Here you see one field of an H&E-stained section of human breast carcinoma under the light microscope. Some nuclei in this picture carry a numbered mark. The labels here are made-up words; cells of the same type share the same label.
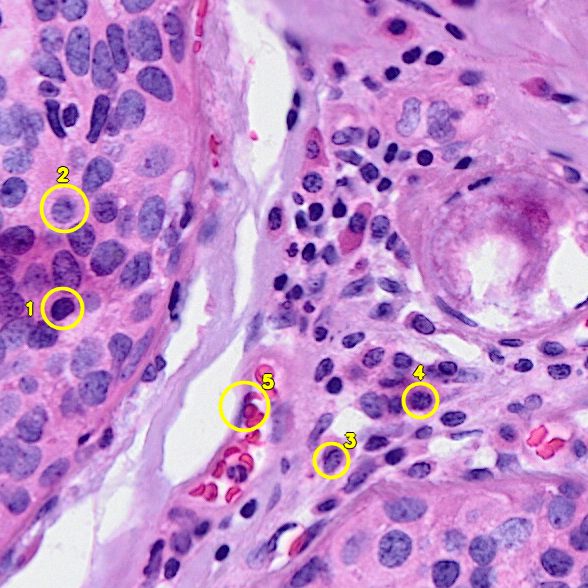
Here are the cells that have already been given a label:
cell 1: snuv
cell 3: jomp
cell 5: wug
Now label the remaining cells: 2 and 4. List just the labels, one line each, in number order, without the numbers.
snuv
jomp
